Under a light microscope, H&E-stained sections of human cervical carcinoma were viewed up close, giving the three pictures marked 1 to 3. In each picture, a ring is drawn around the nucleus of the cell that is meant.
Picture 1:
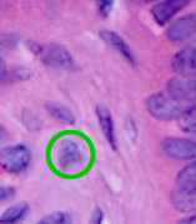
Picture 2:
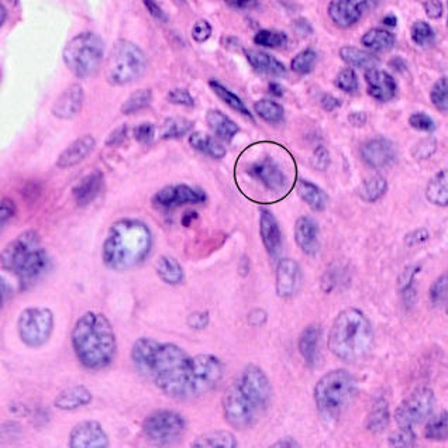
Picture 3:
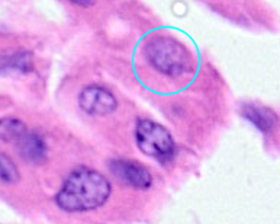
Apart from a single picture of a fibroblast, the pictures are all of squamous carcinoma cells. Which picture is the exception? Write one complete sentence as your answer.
The cell in picture 1 is the fibroblast.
